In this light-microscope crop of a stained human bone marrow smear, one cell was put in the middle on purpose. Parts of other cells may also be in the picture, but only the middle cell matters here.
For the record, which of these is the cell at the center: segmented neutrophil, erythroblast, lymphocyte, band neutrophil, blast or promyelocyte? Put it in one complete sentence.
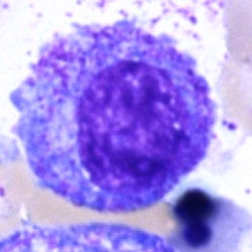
The crop's centre is taken up by a promyelocyte.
